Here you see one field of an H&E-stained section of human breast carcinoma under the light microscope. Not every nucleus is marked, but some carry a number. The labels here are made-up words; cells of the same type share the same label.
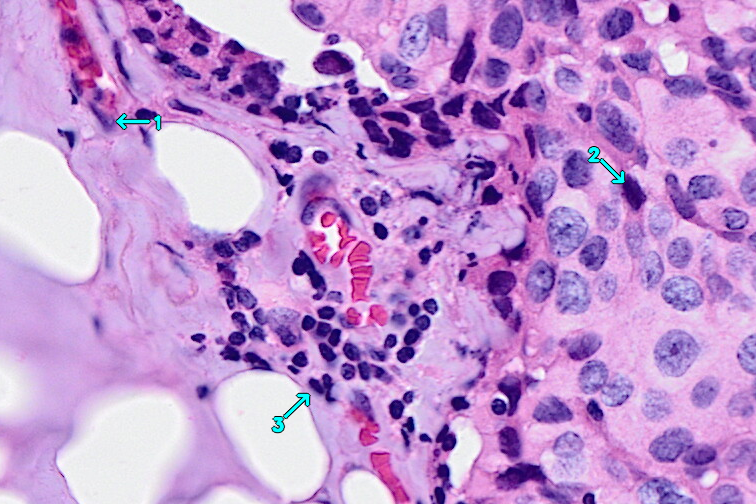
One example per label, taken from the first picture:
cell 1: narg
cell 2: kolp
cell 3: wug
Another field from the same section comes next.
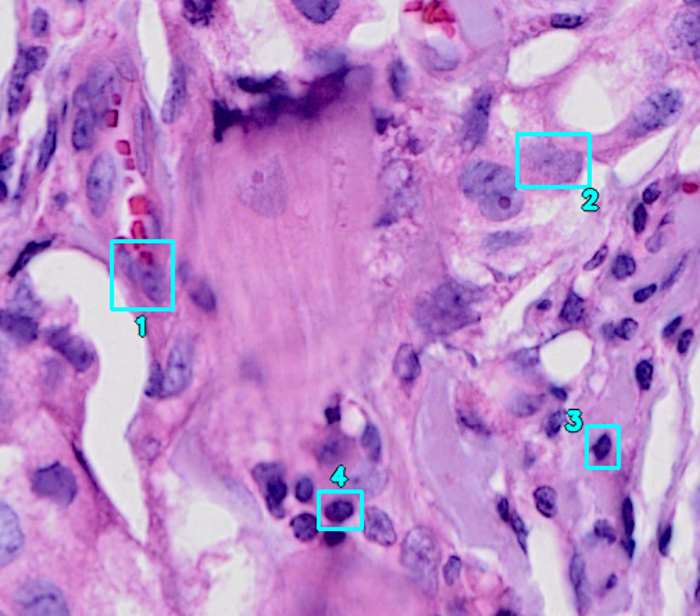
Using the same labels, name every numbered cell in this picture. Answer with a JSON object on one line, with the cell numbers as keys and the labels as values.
{"1": "narg", "2": "kolp", "3": "wug", "4": "wug"}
